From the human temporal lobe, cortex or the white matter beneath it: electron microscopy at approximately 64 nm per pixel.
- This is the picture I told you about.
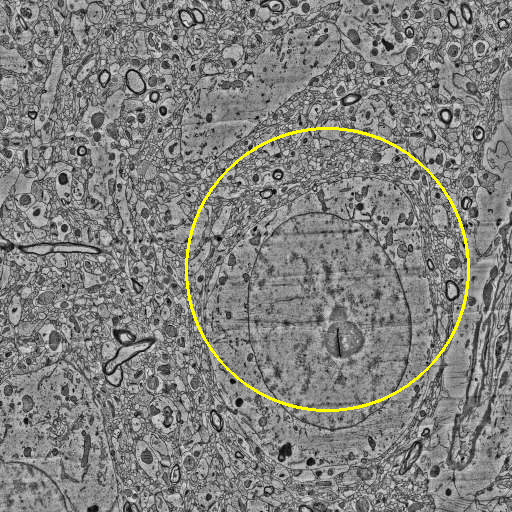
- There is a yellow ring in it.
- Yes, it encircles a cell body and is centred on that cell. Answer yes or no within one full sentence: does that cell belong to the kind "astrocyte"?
No, the cell on which the yellow ring is centred belongs to a different kind.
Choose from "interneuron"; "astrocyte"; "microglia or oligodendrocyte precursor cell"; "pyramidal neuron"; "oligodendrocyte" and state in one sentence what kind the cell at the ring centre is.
Sitting at the ring centre is a pyramidal neuron.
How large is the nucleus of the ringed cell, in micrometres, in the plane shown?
In this plane the nucleus spans approximately 14 by 10 micrometers.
